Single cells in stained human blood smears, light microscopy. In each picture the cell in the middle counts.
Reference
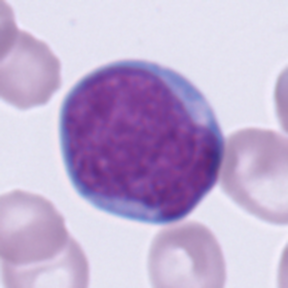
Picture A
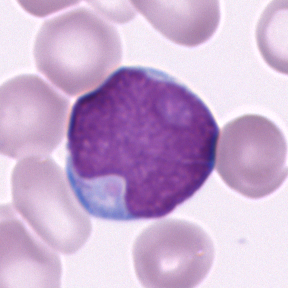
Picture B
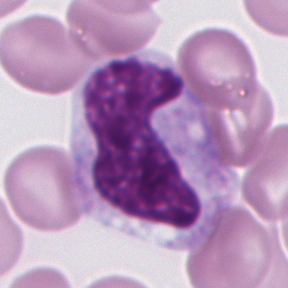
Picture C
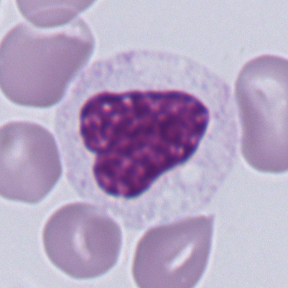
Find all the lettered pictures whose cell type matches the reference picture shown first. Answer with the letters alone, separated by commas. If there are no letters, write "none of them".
A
